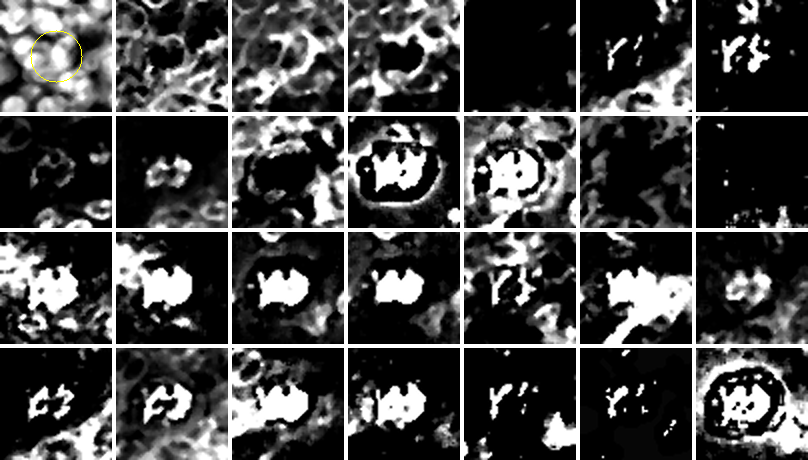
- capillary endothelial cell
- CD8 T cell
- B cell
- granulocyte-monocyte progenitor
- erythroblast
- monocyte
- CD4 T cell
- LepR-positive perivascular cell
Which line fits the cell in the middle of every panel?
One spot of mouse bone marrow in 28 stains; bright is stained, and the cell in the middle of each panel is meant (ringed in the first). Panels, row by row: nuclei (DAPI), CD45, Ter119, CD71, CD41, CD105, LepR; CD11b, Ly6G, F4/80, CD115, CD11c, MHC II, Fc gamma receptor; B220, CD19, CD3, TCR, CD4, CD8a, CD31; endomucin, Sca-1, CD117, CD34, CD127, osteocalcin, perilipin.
B cell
